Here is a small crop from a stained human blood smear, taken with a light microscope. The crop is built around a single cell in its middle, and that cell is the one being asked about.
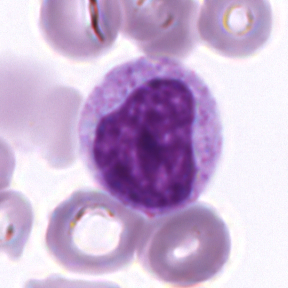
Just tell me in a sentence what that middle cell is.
The middle of this crop holds a metamyelocyte.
